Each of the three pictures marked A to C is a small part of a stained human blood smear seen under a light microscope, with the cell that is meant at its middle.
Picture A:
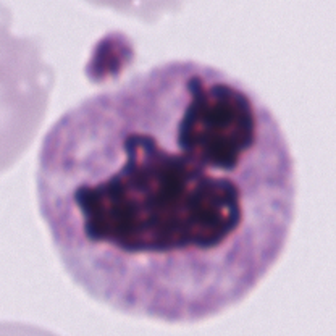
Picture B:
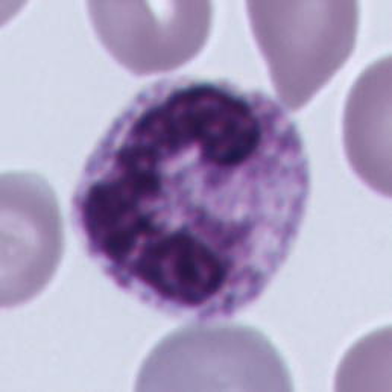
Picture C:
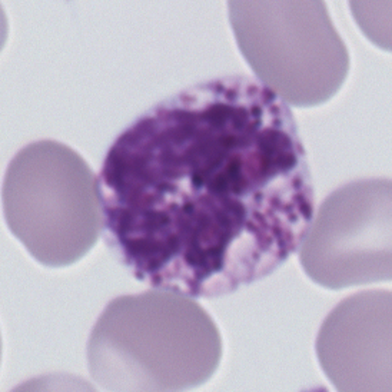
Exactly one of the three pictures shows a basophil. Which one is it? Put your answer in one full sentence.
The cell in picture C is the basophil.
